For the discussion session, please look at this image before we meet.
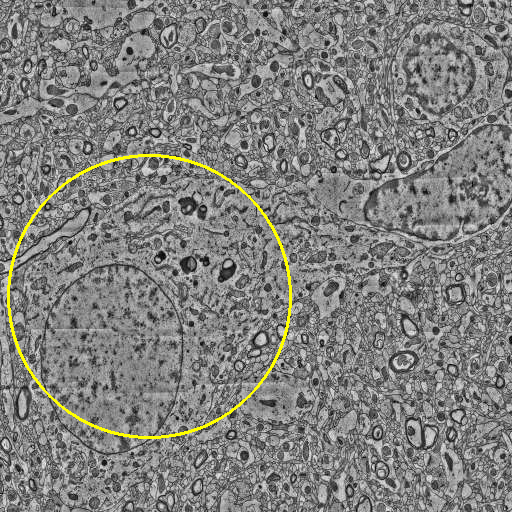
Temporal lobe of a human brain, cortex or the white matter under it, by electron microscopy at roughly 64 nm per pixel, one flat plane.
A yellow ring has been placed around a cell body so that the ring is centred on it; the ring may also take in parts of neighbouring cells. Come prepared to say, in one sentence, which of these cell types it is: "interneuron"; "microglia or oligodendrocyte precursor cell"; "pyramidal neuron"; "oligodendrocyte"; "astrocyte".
The cell centred in the ring is a pyramidal neuron.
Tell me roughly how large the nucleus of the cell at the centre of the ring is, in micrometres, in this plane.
In this plane the nucleus measures roughly 12 by 9 micrometres.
